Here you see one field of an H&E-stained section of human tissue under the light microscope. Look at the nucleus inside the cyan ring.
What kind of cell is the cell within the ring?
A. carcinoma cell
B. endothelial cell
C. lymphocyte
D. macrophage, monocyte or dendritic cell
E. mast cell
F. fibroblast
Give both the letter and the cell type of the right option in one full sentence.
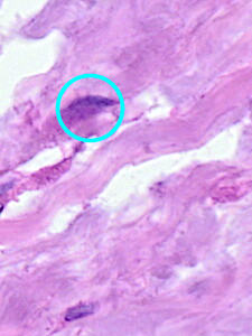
Of the options offered, F is correct, as the cell within the ring is a fibroblast.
